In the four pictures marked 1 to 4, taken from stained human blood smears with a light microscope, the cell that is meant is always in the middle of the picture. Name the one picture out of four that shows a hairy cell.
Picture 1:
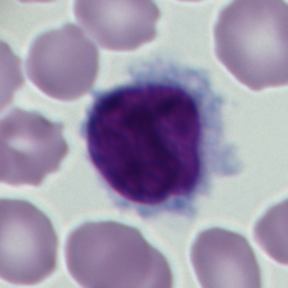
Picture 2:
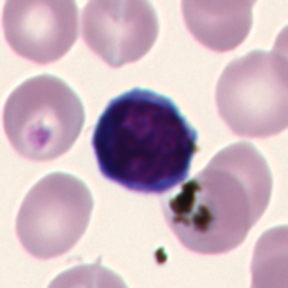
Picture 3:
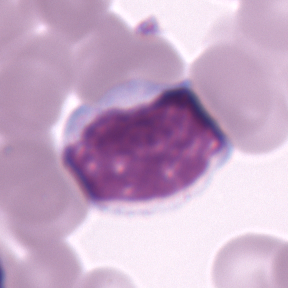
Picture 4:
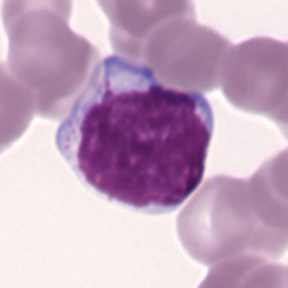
1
